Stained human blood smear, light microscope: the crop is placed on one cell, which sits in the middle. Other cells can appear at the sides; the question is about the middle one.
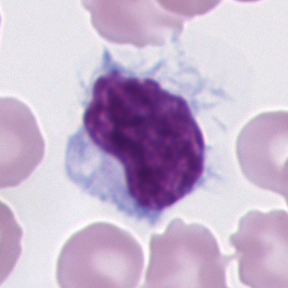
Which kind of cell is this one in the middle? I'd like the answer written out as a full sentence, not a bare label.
Located at the centre of the crop is a hairy cell.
